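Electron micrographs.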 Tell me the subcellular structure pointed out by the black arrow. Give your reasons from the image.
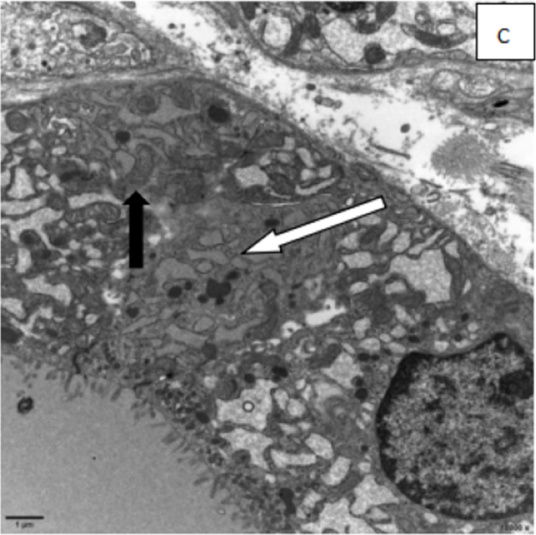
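Mitochondria. The arrow points to small rounded to oval membrane-bound organelles in the cytoplasm. Several such organelles are denser than the surrounding pale cisternae.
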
